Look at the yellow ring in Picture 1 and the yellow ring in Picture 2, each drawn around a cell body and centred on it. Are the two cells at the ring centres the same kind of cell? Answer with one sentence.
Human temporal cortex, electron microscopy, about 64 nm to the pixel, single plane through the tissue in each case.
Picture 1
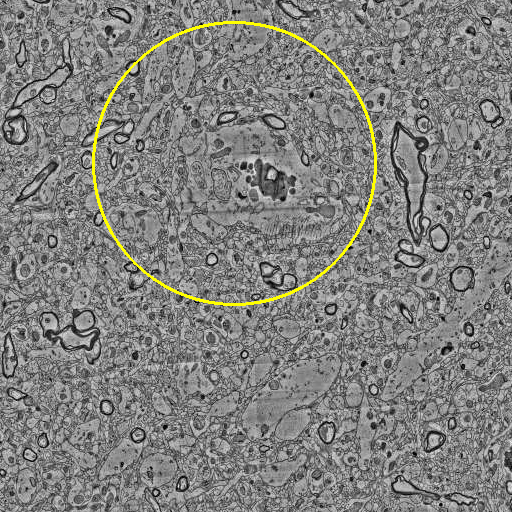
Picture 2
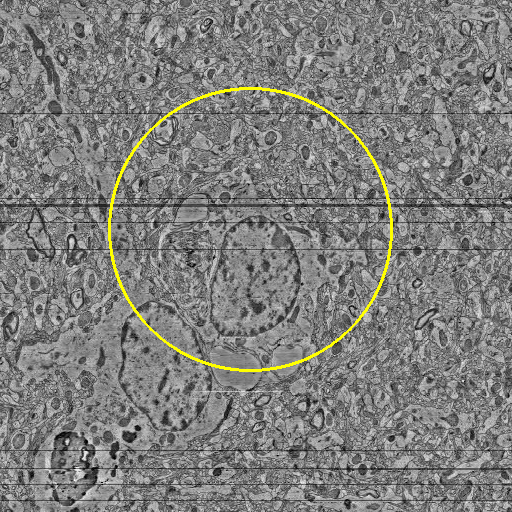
Yes, both are the same kind of cell.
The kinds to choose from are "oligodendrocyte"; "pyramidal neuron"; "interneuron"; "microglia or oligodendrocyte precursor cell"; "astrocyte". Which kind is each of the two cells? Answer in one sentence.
In the first picture and in the second, the ring is centred on an astrocyte.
